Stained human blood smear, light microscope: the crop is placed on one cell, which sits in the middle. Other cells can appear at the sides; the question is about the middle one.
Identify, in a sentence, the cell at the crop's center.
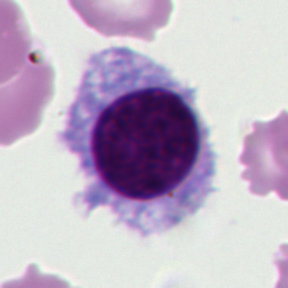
The cell marked by its central position in the crop is a hairy cell.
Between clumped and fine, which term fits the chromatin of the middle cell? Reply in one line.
What stands out is fine chromatin lacking any coarse clumps.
